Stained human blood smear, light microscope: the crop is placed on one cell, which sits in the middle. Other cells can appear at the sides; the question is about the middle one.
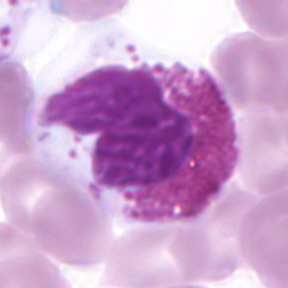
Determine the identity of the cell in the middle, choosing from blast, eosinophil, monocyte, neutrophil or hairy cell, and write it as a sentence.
The centrally placed cell is classified as an eosinophil.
